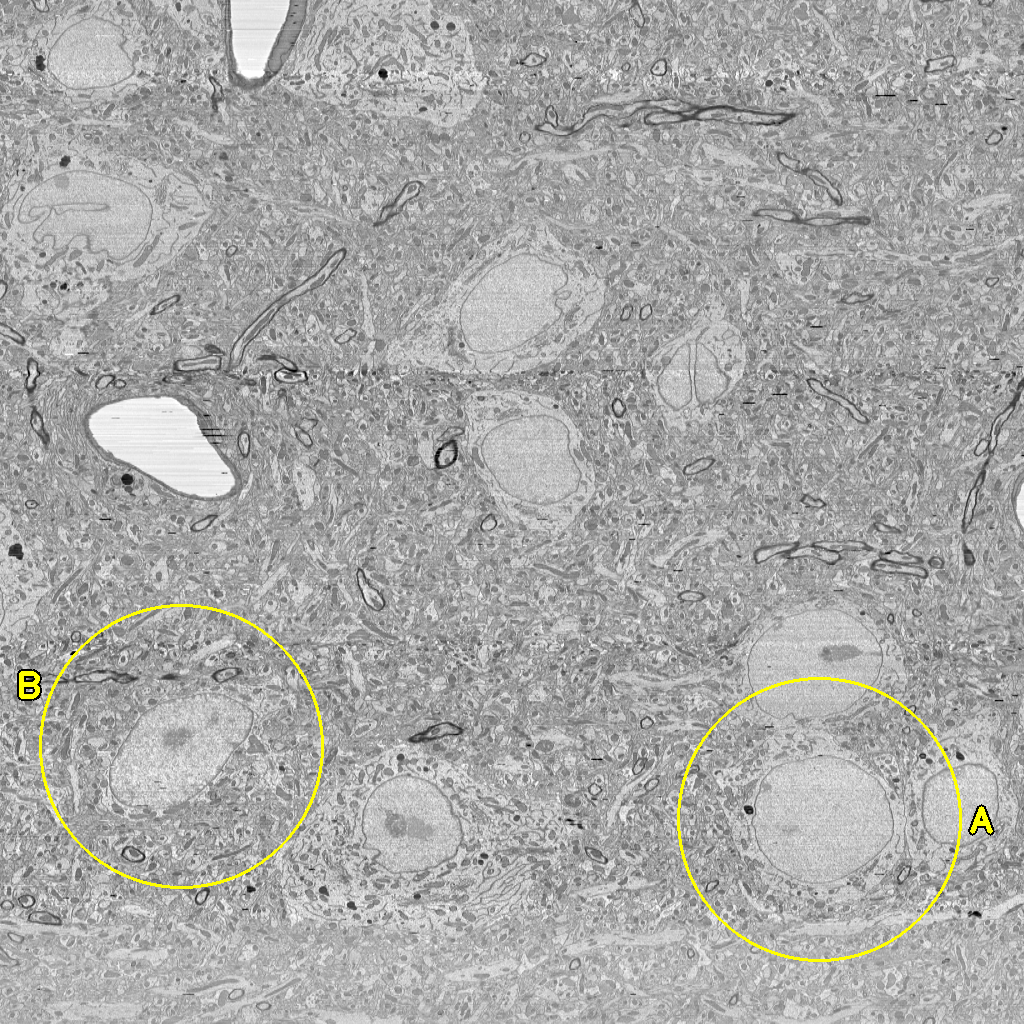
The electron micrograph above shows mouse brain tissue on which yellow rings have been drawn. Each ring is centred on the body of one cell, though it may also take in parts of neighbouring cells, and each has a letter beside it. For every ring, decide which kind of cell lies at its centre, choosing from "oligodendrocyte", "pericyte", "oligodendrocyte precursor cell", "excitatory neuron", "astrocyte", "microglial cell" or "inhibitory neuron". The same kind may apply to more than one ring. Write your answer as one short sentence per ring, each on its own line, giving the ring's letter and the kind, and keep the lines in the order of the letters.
Ring A is centred on an excitatory neuron.
Ring B is centred on an astrocyte.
